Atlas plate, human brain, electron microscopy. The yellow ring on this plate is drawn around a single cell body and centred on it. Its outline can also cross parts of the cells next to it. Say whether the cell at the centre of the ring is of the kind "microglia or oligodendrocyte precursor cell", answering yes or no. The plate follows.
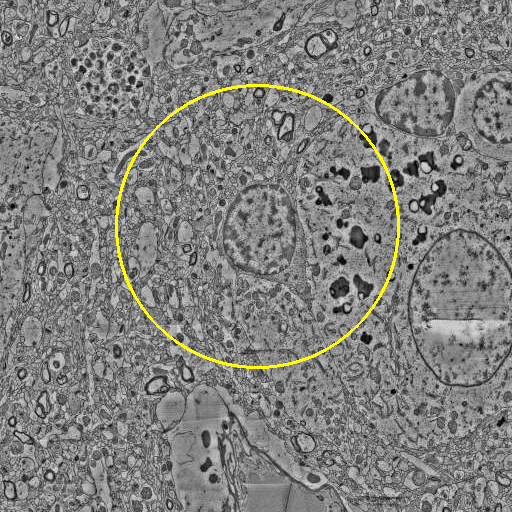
No, the cell is of another kind.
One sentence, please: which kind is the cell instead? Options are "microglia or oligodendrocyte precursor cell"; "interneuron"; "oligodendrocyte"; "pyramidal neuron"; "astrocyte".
Instead, the cell at the centre of the yellow ring is an oligodendrocyte.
